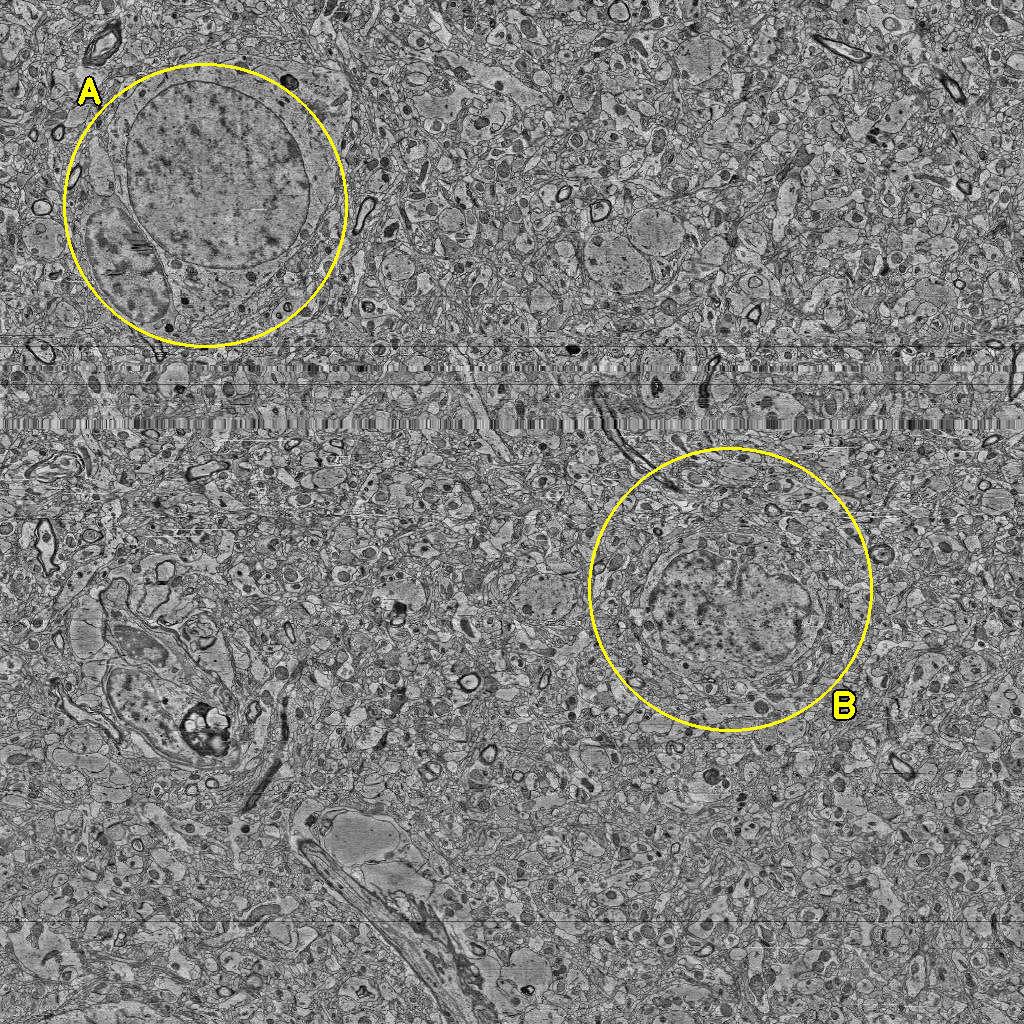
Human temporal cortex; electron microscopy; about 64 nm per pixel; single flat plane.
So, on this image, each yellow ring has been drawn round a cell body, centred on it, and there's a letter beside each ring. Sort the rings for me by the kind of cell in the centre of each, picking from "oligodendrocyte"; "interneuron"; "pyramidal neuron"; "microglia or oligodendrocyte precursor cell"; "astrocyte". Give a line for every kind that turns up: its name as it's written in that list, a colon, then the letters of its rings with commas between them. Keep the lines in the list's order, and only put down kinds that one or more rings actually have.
interneuron: B
pyramidal neuron: A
